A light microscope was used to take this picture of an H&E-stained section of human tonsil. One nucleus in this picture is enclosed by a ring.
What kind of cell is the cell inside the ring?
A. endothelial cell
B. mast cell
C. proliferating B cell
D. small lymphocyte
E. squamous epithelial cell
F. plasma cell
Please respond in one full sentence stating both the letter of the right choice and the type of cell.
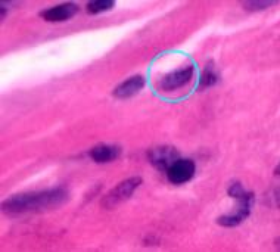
Settle on option B; the cell inside the ring is a mast cell.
